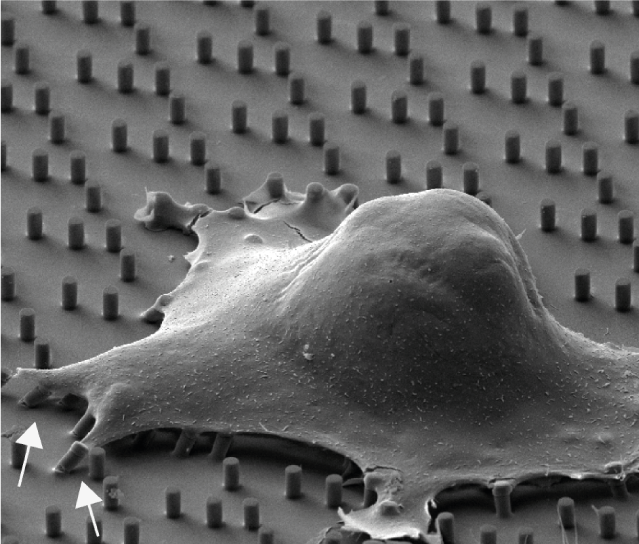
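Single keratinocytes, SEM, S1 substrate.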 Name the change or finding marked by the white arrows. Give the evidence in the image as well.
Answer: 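Pegs at the cell periphery were bent. The arrows point to pillars at the cell's edge. Those pillars lean toward the cell rather than standing upright like the others. Thin extensions of the cell edge reach onto these pillars.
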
